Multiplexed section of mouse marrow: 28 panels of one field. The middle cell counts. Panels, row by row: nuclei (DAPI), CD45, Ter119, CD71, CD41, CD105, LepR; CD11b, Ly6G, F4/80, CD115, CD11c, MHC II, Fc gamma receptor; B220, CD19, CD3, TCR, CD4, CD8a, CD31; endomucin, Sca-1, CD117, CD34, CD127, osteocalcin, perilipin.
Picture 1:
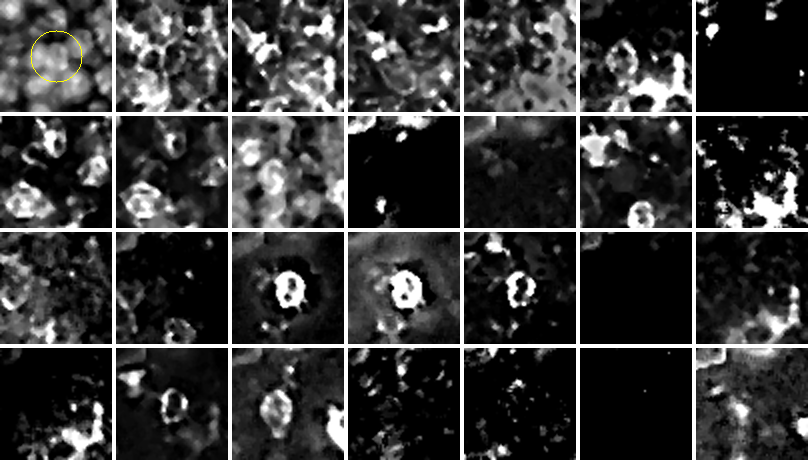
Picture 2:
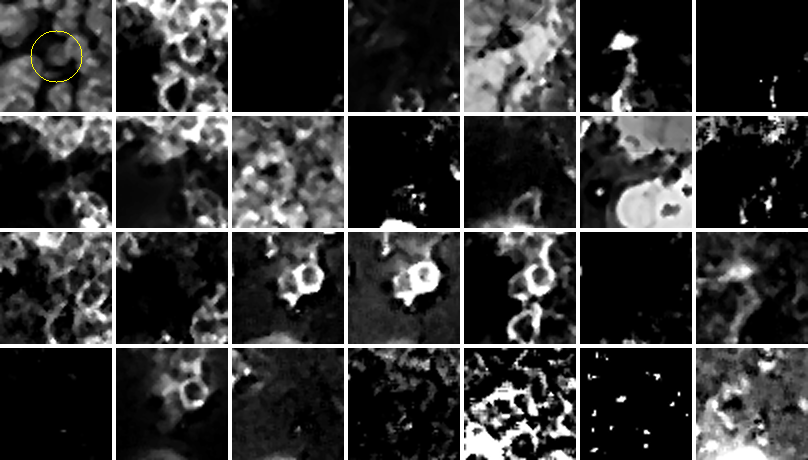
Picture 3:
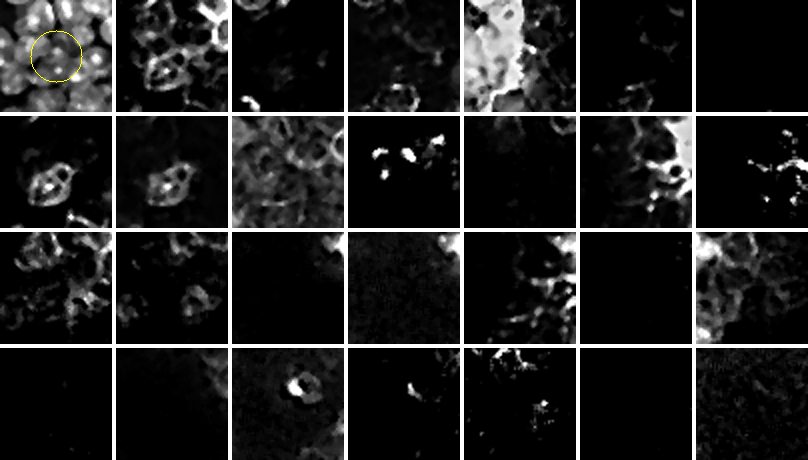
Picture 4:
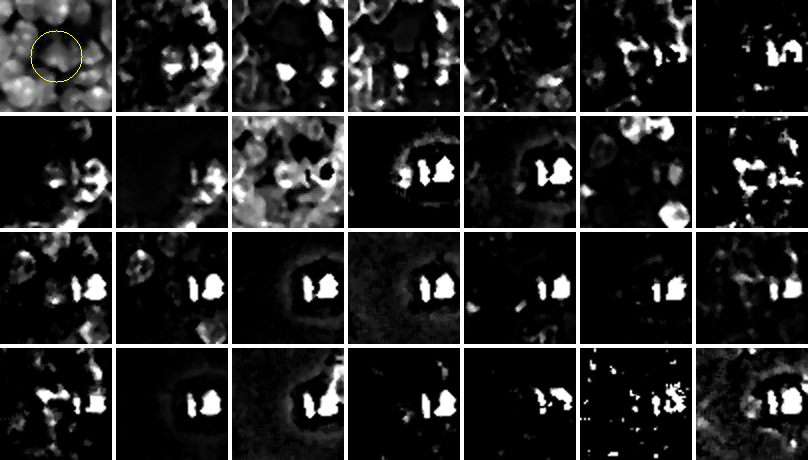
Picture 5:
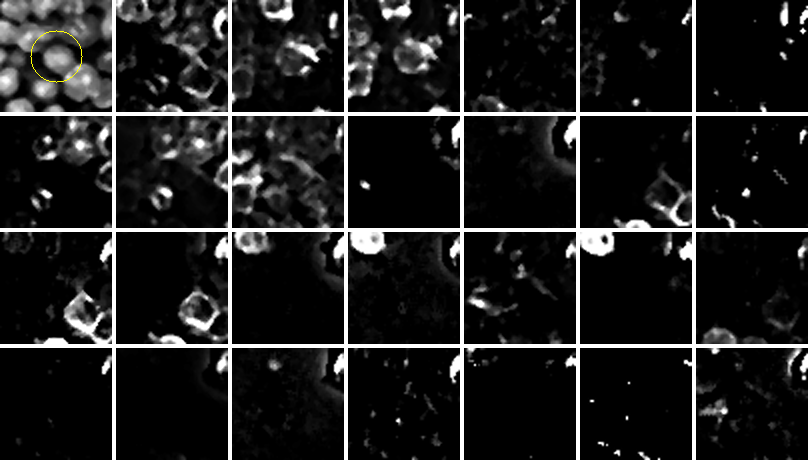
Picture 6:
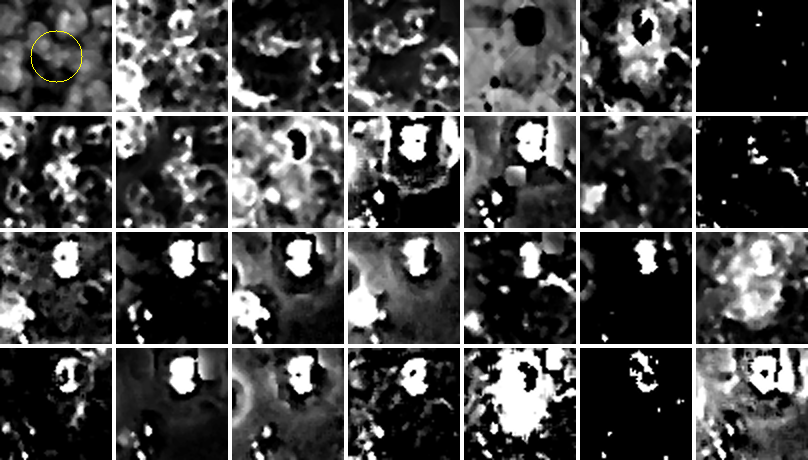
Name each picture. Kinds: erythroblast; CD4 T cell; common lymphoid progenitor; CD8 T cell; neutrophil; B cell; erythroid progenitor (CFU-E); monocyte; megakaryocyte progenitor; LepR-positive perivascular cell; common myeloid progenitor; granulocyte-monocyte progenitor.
1: CD4 T cell
2: CD4 T cell
3: neutrophil
4: monocyte
5: erythroblast
6: megakaryocyte progenitor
